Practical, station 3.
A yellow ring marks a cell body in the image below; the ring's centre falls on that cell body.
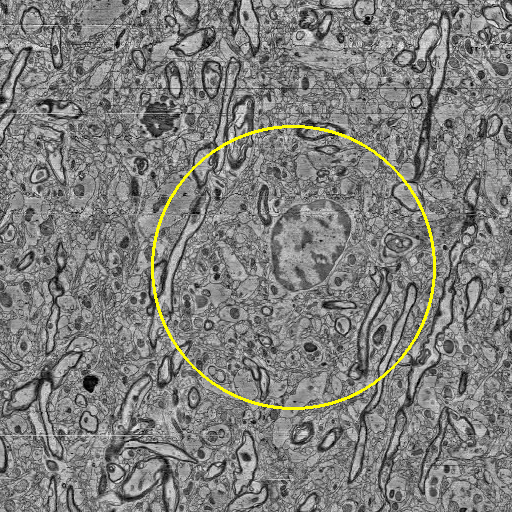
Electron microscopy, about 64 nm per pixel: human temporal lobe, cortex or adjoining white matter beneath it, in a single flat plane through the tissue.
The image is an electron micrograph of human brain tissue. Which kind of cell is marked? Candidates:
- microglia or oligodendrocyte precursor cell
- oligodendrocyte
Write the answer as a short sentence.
The marked cell body is that of a microglial cell or oligodendrocyte precursor cell.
